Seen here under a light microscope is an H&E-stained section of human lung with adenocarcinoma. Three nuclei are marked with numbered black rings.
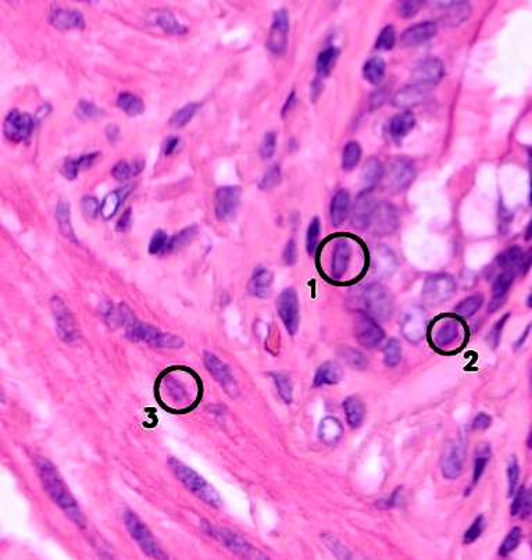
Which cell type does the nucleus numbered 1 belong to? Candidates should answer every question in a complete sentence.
The cell given label 1 is a ciliated epithelial cell.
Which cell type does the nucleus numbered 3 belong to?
Marked with the number 3, this cell is a smooth muscle cell or pericyte.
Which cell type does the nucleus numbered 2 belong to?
Identified by the number 2, the cell is a ciliated epithelial cell.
